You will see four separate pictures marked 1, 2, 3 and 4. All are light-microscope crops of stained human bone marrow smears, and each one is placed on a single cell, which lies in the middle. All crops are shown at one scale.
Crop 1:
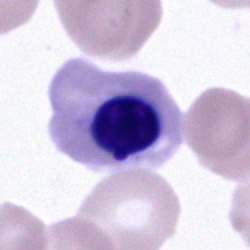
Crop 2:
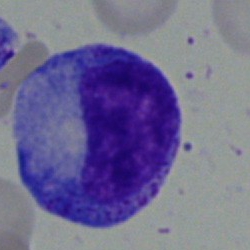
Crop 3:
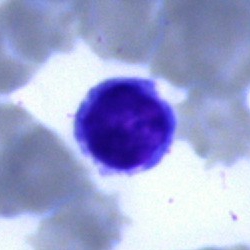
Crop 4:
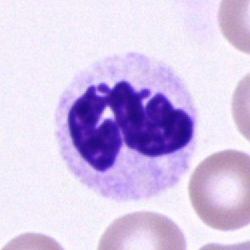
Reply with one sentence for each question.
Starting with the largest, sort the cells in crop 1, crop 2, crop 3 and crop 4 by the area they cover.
The order is 2, 4, 1, 3, beginning with the largest.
